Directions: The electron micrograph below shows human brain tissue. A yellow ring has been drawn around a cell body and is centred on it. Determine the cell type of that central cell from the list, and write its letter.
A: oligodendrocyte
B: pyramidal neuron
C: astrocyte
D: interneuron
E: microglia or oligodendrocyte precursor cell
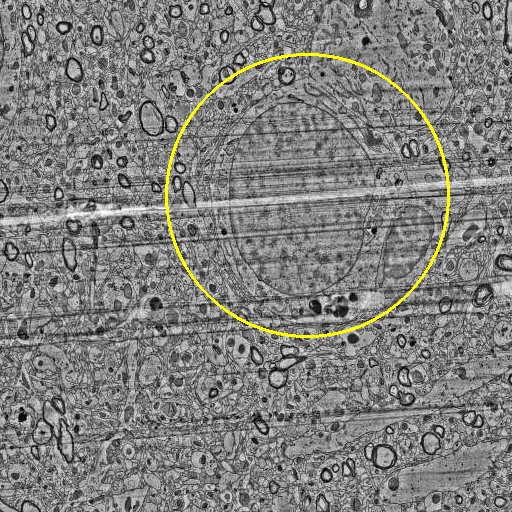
B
